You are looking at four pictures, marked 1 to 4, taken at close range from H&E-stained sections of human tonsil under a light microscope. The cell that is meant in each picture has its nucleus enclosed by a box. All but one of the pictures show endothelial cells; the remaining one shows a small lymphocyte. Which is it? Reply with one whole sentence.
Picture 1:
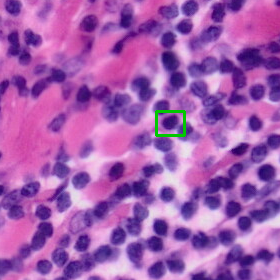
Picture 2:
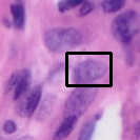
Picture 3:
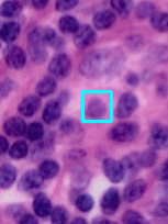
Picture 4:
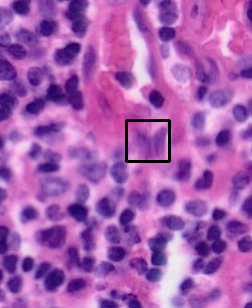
The picture with the small lymphocyte is 1.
